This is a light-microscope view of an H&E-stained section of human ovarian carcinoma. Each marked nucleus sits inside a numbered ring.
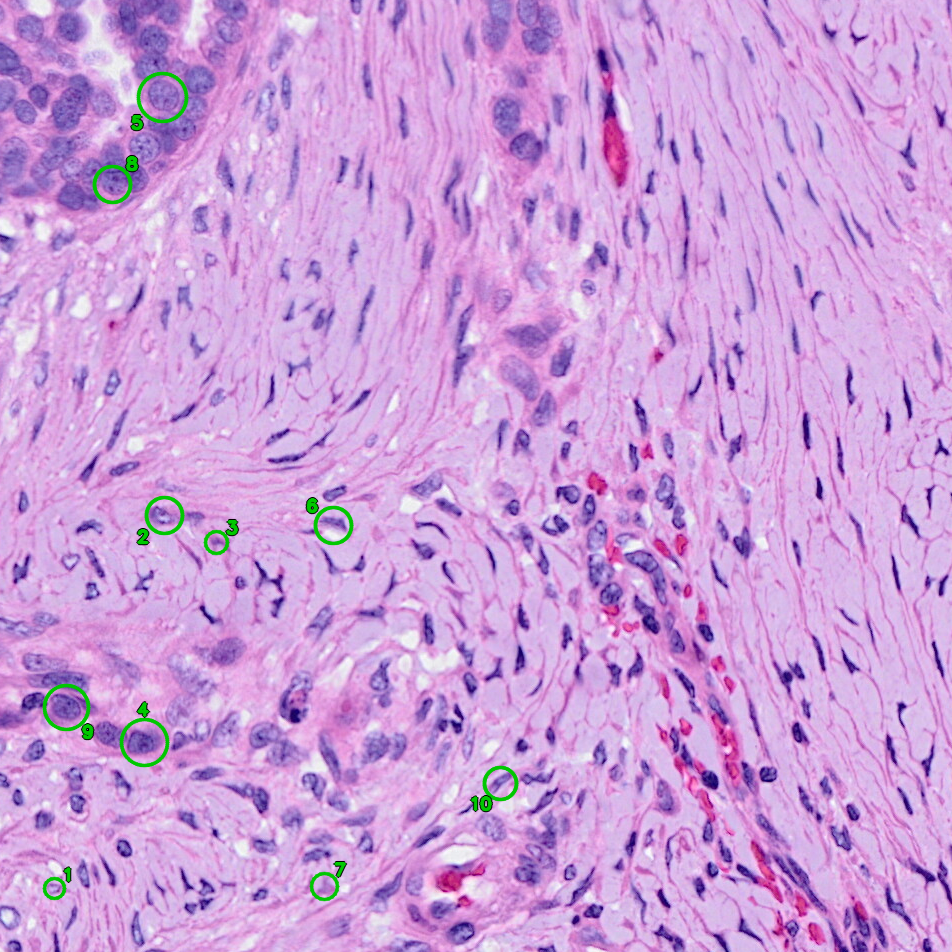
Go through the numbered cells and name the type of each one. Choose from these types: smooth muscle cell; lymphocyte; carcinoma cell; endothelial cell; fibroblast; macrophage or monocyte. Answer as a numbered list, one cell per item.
1. fibroblast
2. fibroblast
3. fibroblast
4. carcinoma cell
5. carcinoma cell
6. fibroblast
7. fibroblast
8. carcinoma cell
9. carcinoma cell
10. fibroblast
